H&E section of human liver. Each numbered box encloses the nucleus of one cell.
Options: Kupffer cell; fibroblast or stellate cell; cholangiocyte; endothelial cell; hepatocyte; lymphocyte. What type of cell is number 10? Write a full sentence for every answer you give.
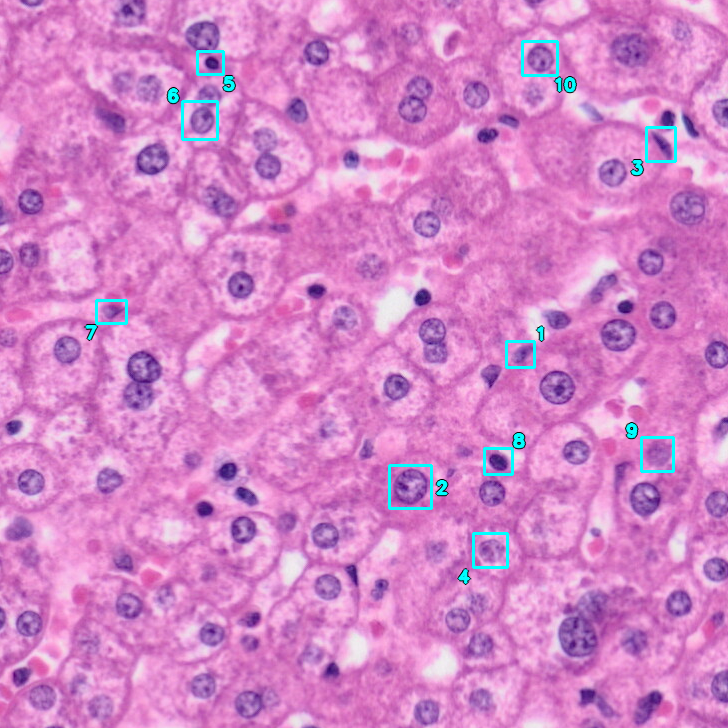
The one labeled 10 is a hepatocyte, to put it simply.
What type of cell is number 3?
The cell pointed out by number 3 is a fibroblast or stellate cell.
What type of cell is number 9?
The nucleus marked 9 is the nucleus of a hepatocyte.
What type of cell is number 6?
The nucleus labelled 6 belongs to a hepatocyte.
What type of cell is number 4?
Cell 4 of the marked set is a hepatocyte.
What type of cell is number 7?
Cell 7 should be recorded as an endothelial cell.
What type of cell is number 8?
The expected answer is that cell 8 is a lymphocyte.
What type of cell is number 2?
The cell with the number 2 is a hepatocyte.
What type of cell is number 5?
The cell that is numbered 5 is a lymphocyte.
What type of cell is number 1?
What the number 1 marks in this field is a fibroblast or stellate cell.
